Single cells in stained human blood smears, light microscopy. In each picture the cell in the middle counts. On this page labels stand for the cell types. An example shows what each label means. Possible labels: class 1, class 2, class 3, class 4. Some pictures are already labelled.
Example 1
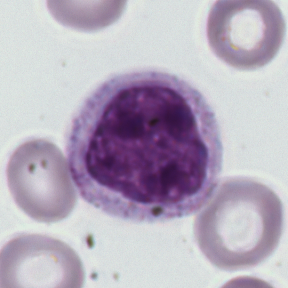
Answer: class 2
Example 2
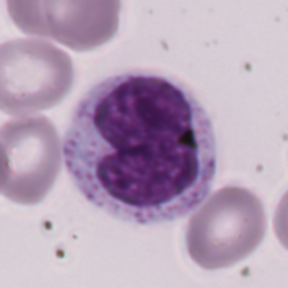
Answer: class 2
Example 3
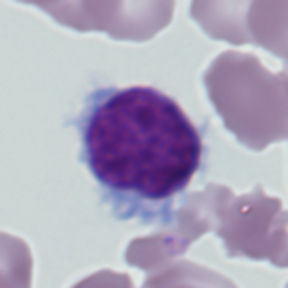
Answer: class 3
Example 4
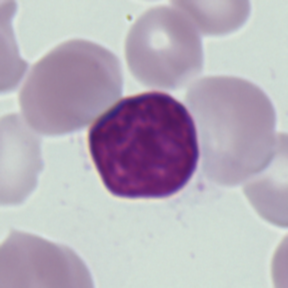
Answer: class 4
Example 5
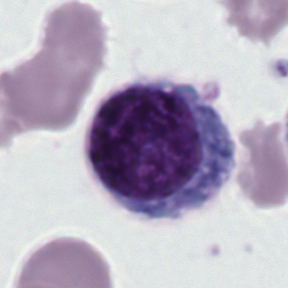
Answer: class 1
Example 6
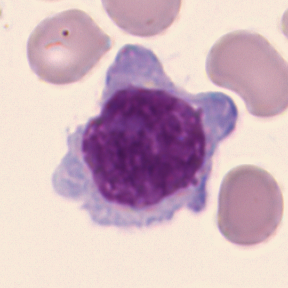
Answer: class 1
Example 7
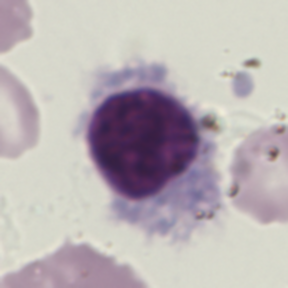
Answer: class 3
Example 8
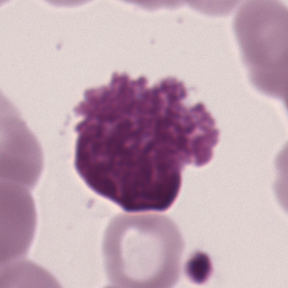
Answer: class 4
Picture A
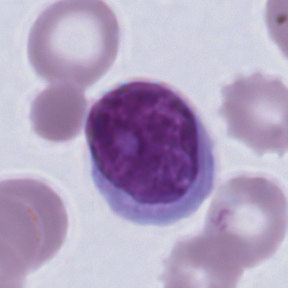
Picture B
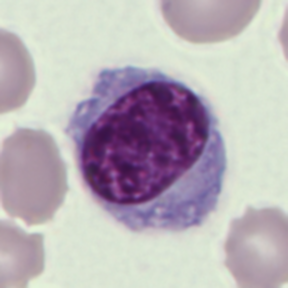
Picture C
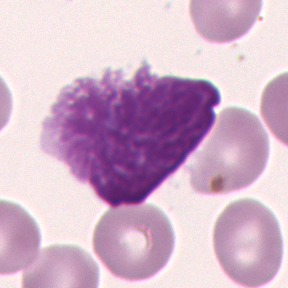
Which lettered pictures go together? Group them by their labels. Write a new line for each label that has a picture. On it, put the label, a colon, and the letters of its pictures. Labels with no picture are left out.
class 1: A, B
class 4: C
